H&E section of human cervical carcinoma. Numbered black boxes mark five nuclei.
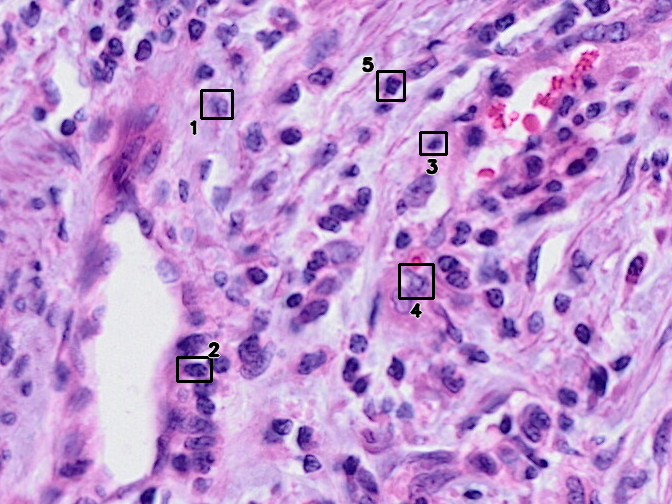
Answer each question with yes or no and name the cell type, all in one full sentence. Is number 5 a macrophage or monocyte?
No, it is not a macrophage or monocyte that bears number 5 but a lymphocyte.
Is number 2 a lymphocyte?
Yes, for number 2, the cell is a lymphocyte.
